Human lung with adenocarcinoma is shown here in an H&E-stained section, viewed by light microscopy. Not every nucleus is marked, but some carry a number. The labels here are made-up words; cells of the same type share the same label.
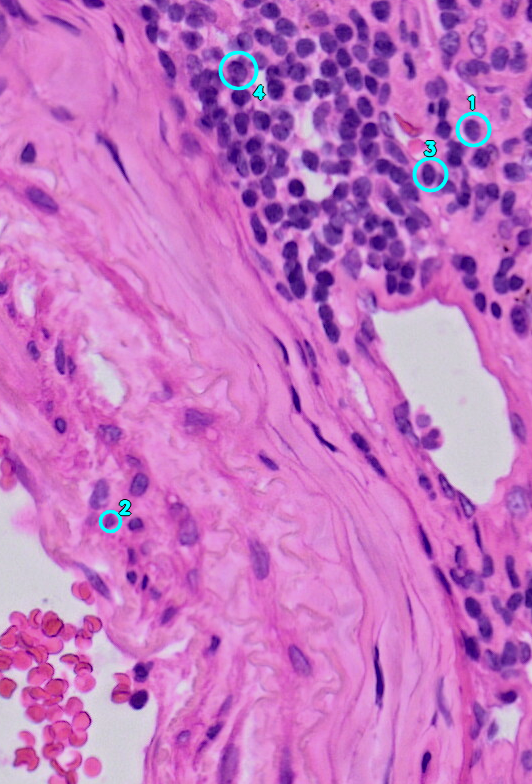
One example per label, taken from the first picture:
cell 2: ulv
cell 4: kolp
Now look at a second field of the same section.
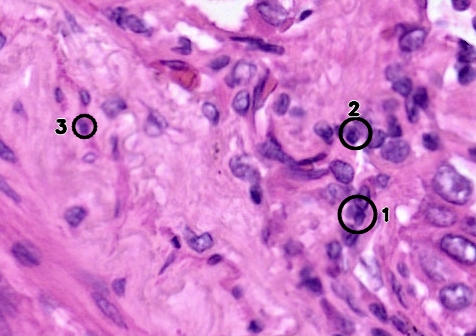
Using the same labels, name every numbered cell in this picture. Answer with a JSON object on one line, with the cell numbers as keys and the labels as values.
{"1": "kolp", "2": "kolp", "3": "ulv"}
